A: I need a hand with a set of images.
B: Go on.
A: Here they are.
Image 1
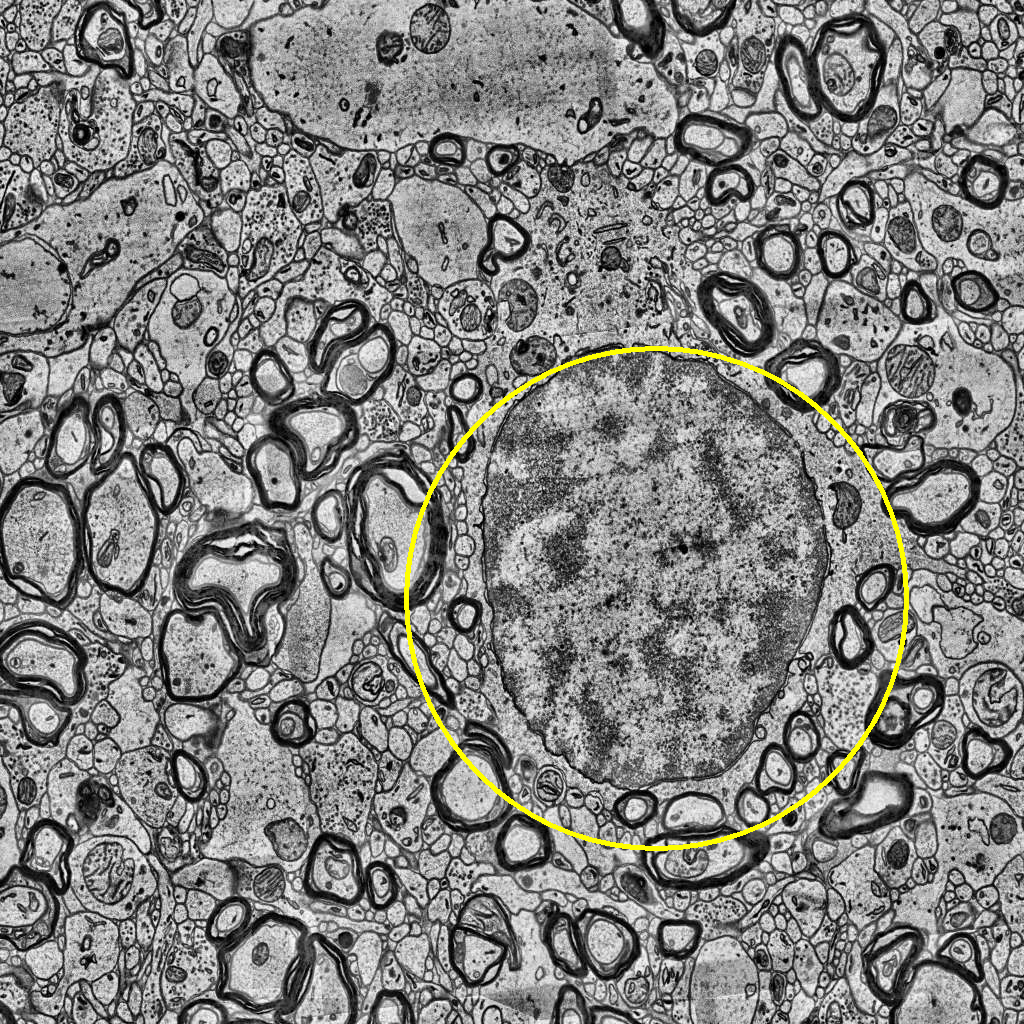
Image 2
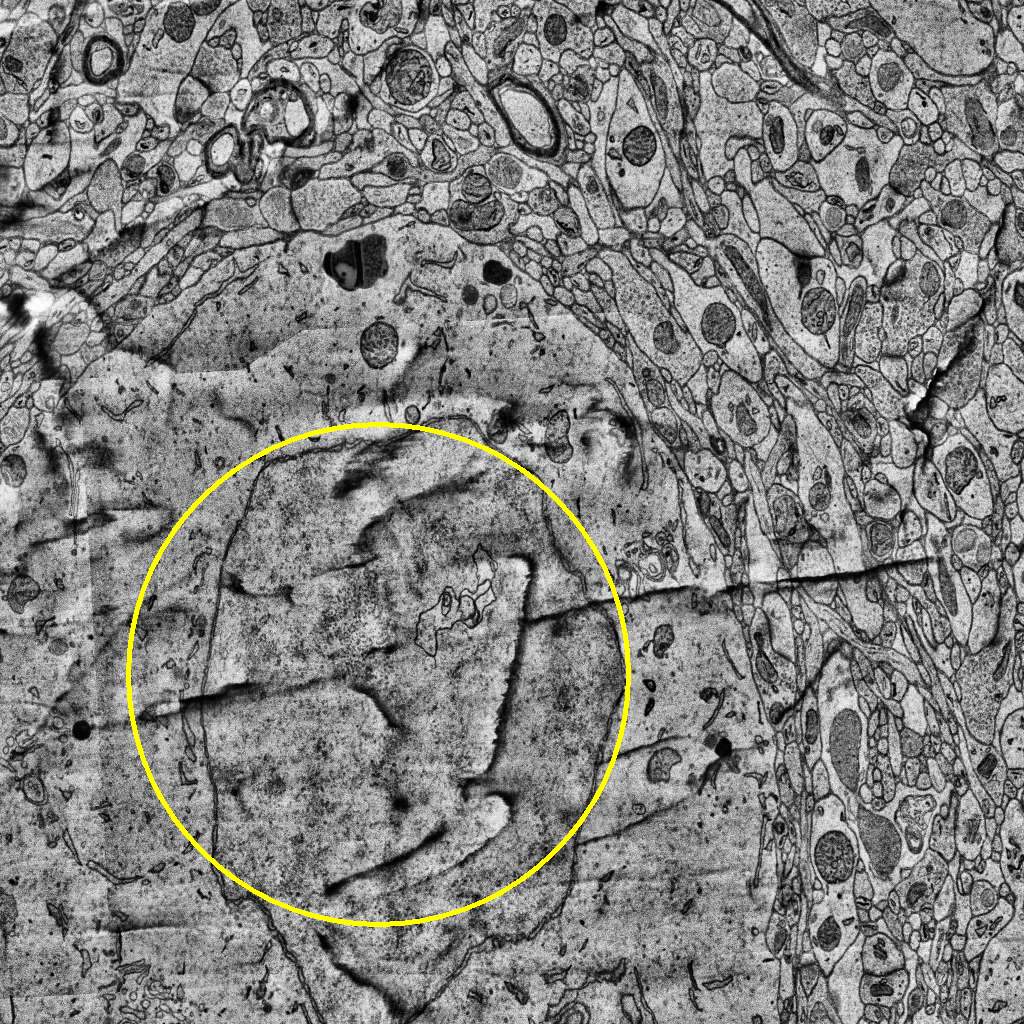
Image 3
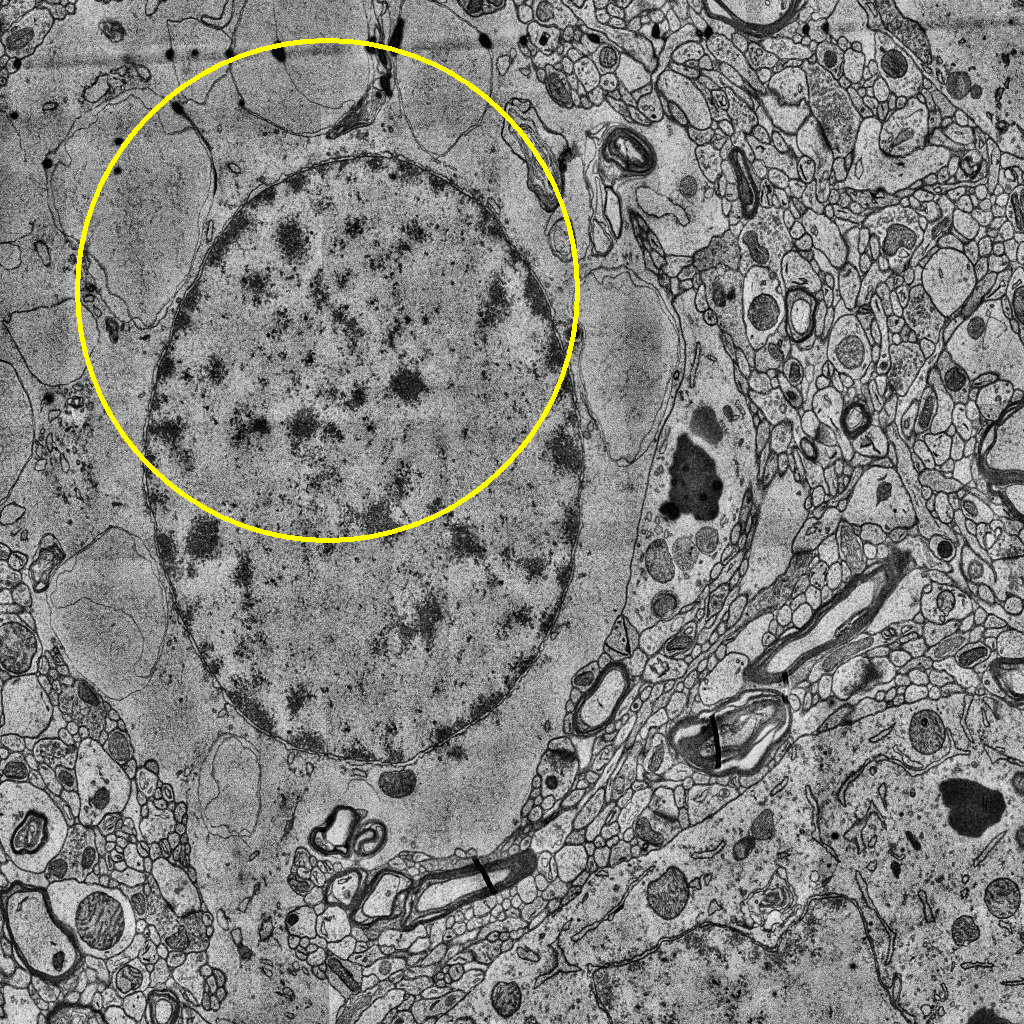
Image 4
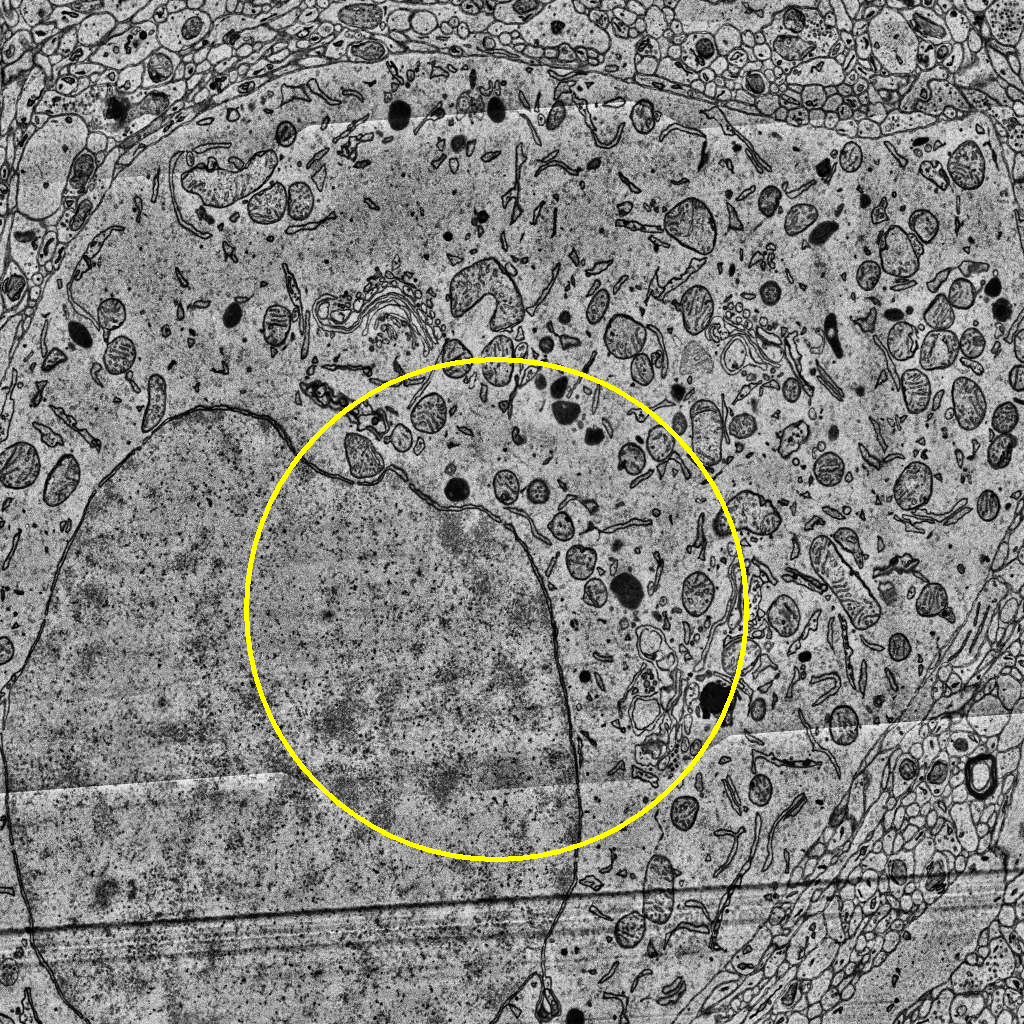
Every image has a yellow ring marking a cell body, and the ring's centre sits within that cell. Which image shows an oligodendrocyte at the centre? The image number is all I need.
1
